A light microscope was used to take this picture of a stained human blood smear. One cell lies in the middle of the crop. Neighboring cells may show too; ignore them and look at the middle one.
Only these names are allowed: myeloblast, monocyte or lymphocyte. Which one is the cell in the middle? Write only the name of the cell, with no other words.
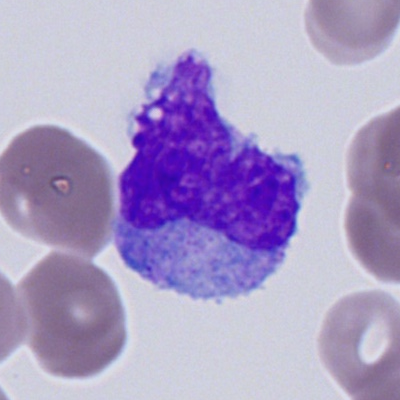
monocyte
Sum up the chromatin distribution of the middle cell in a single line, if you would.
The chromatin of this one is coarsely clumped.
